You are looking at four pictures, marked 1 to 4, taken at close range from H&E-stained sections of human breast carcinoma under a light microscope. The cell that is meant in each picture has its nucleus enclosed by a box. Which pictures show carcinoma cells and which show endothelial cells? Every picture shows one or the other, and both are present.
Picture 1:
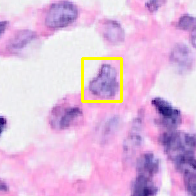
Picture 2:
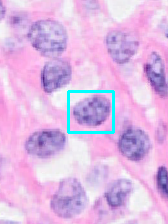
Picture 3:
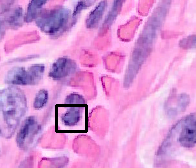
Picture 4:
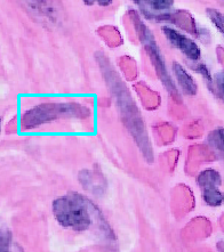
1: carcinoma cell
2: carcinoma cell
3: endothelial cell
4: endothelial cell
